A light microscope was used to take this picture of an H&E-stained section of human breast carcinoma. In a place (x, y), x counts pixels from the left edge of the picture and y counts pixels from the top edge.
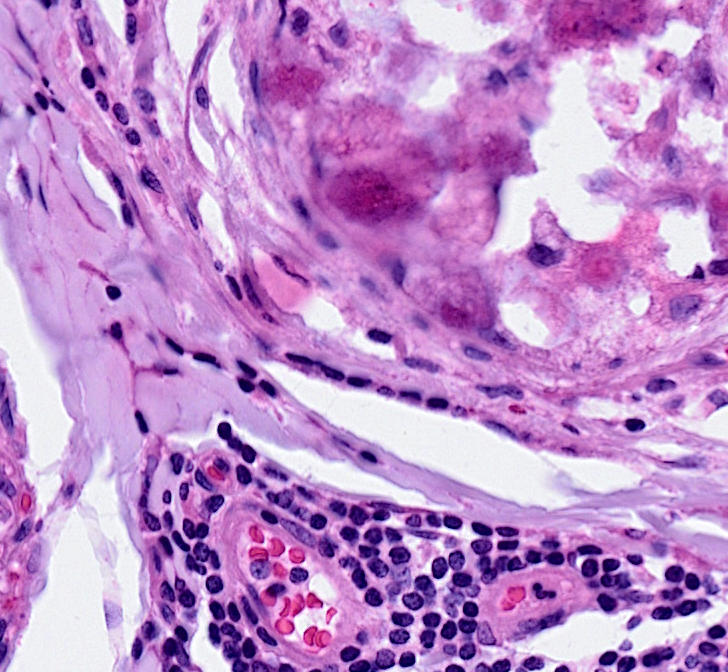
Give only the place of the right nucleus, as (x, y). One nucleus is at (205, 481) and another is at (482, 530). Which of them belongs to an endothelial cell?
(205, 481)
